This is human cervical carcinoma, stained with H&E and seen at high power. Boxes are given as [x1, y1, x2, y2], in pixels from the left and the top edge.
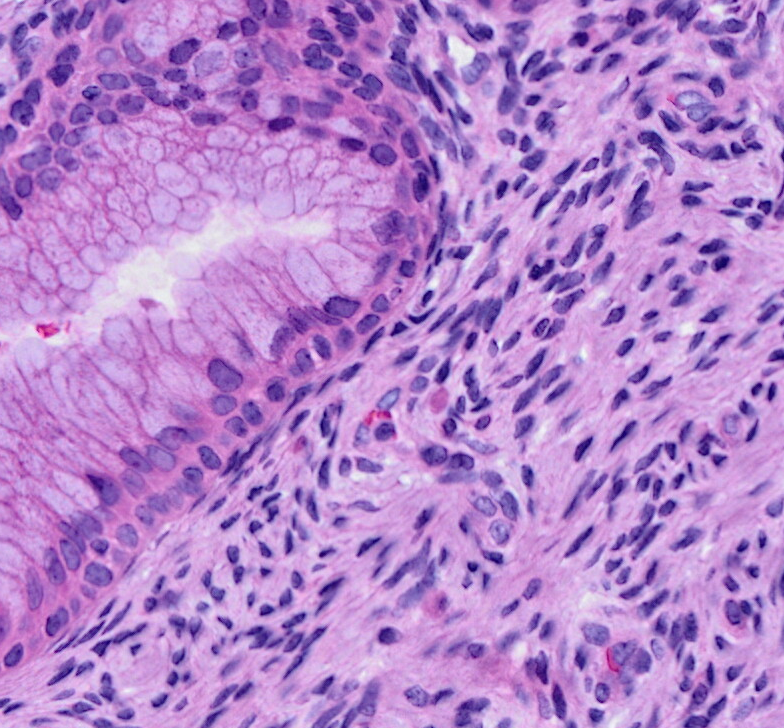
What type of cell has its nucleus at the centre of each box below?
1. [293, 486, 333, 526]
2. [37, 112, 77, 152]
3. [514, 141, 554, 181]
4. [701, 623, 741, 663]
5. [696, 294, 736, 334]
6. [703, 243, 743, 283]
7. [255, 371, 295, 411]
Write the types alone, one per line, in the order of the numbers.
fibroblast
secretory epithelial cell
fibroblast
fibroblast
fibroblast
lymphocyte
secretory epithelial cell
